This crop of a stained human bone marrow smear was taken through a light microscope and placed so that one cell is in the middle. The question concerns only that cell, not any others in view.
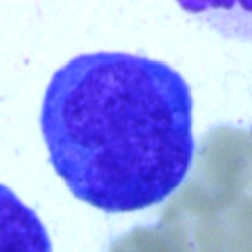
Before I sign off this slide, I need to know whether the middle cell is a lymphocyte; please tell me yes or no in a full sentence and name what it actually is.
No, a lymphocyte is not what the central cell is; it is a blast.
